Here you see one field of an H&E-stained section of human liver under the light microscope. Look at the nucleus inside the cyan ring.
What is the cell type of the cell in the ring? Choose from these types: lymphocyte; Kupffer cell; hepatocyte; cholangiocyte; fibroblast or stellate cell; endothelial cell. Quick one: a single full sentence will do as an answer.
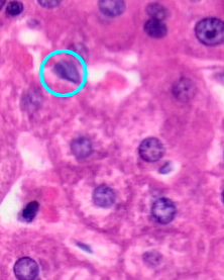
Within the stained tissue, the cell in the ring is an endothelial cell.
